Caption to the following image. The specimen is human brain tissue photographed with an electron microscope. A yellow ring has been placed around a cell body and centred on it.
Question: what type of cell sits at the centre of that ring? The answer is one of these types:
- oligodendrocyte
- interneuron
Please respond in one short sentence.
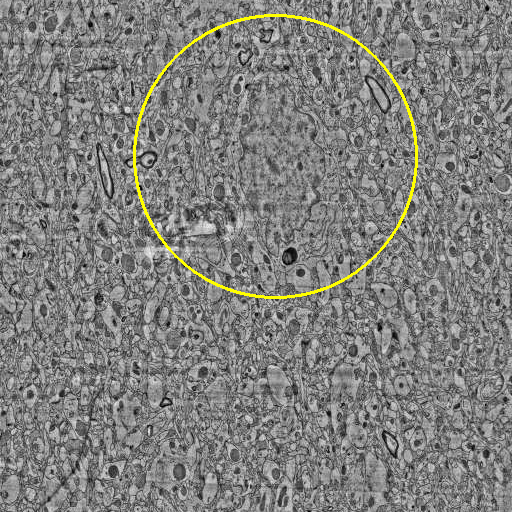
The ring surrounds the cell body of an interneuron.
